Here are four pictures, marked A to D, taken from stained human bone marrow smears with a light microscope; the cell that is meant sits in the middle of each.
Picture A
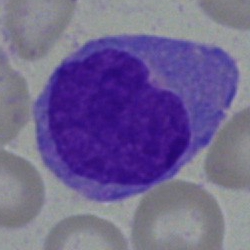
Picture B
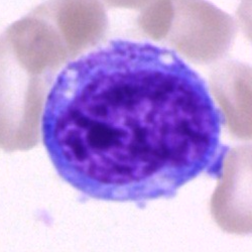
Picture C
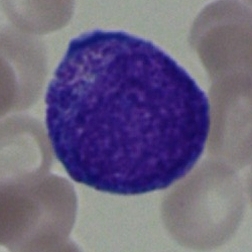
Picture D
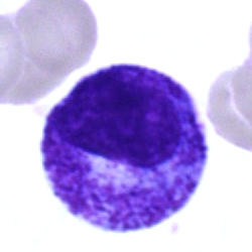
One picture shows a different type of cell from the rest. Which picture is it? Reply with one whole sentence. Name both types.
The others show promyelocytes, but picture A shows a monocyte.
